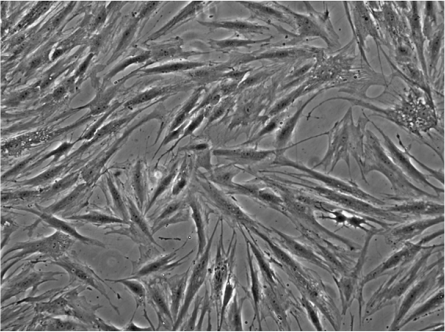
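This is a near-confluent culture of adherent cells seen in phase contrast, the cells large, flattened and spread, some broad and others elongated and spindle-shaped. Many of the broad cells show fine parallel streaks running along their length within the cytoplasm. The cells lie side by side in loose, roughly parallel streams that change direction across the field. Scattered small granular, bright debris sits on top of some cells.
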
